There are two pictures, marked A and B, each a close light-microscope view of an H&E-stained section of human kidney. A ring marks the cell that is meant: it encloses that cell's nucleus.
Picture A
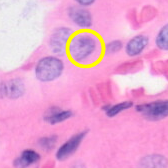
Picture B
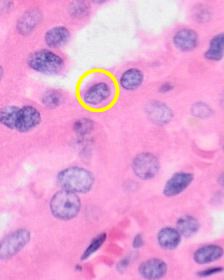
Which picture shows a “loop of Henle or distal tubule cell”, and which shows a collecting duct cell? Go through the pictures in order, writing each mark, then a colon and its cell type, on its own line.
A: collecting duct cell
B: loop of Henle or distal tubule cell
